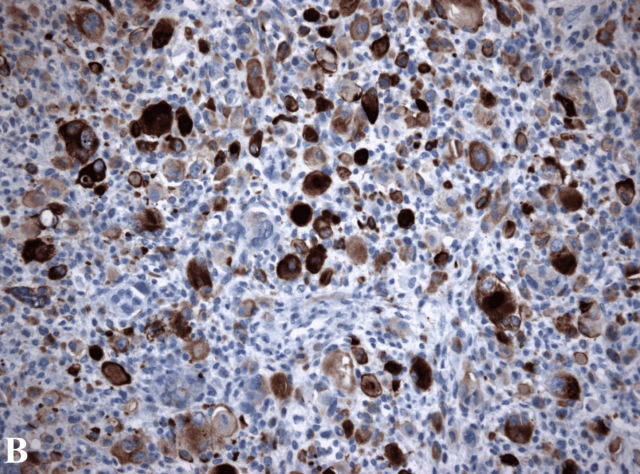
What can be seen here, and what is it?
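A cellular tumour in which many large rounded cells with abundant cytoplasm are stained strongly brown, some of them in dense globular form. They lie scattered among smaller oval to spindle cells with blue nuclei and unstained cytoplasm.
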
